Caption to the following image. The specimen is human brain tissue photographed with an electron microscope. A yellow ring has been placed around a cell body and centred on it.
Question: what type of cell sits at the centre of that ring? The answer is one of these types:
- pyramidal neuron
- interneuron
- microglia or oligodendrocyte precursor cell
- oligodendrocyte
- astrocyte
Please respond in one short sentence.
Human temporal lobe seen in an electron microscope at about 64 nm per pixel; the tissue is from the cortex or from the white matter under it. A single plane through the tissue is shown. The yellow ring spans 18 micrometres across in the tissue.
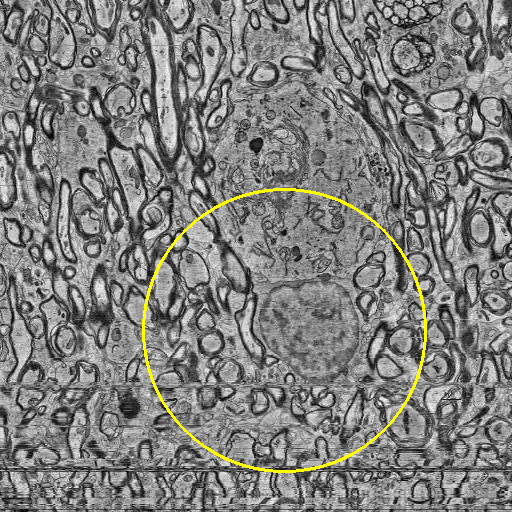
The ring surrounds the cell body of an oligodendrocyte.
